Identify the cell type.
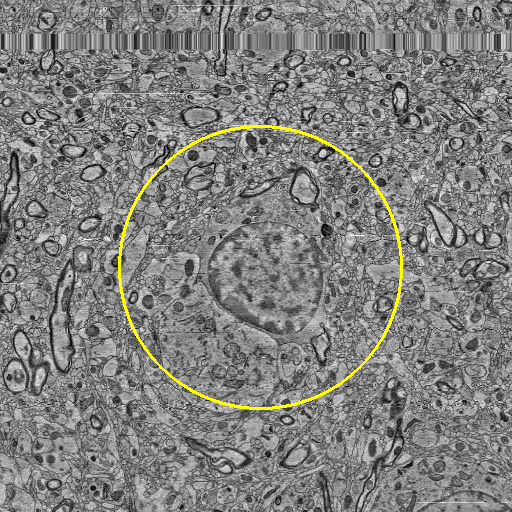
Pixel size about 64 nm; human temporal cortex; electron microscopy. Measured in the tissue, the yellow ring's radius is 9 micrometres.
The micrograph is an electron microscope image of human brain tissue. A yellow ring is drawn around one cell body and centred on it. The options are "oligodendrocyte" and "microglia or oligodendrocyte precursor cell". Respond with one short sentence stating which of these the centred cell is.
The cell body in the ring belongs to an oligodendrocyte.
